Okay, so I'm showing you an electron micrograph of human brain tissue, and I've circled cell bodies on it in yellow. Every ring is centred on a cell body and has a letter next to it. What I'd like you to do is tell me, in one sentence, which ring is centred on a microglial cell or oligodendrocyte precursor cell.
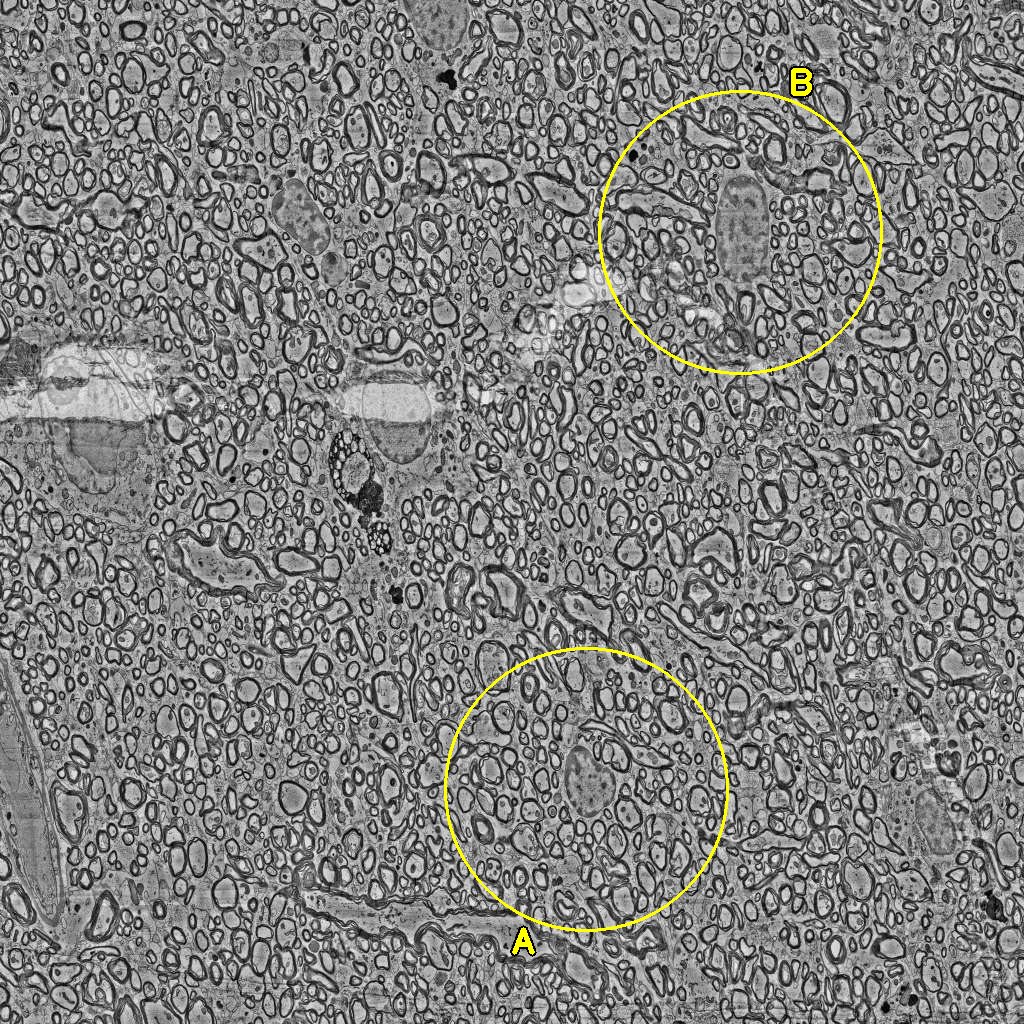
It's ring A.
